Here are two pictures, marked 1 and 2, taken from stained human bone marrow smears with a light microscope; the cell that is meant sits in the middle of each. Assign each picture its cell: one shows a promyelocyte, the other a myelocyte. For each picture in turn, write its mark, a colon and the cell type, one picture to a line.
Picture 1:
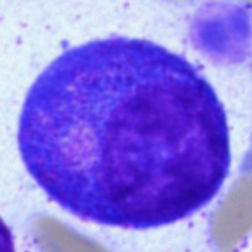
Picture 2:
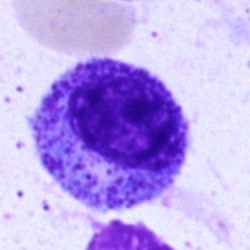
1: promyelocyte
2: myelocyte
